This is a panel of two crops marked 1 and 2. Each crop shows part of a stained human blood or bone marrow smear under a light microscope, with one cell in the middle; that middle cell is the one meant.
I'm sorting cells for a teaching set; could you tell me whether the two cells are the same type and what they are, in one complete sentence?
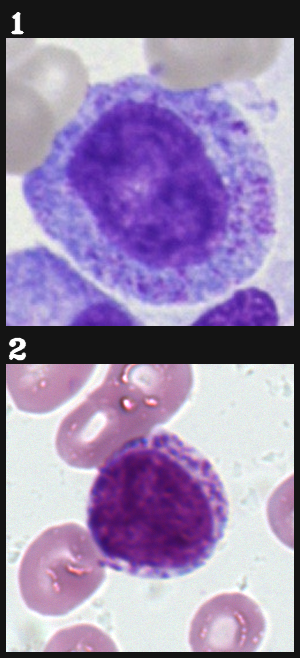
No, crop 2 centres on a myelocyte, and crop 1 centres on a promyelocyte.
